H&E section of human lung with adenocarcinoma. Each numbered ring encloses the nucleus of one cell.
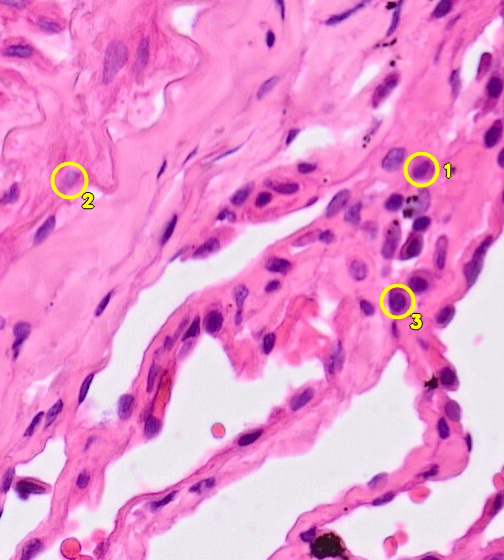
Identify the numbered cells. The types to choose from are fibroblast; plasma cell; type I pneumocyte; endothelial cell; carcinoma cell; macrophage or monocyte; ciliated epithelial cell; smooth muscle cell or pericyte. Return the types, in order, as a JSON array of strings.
["plasma cell", "smooth muscle cell or pericyte", "plasma cell"]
